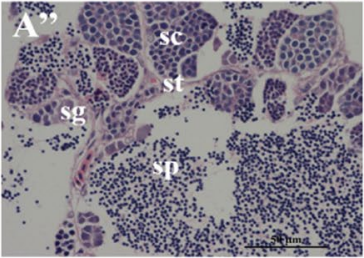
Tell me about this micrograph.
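This section of a testis shows germ cells at several developmental stages together with somatic cells. Spermatocytes lie in tight clusters of small round cells with dark purple nuclei, each cluster bounded by thin pink walls. Large open spaces are filled with masses of tiny, densely stained sperm heads. Thin pink strands of somatic cells with elongated nuclei run between the clusters.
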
